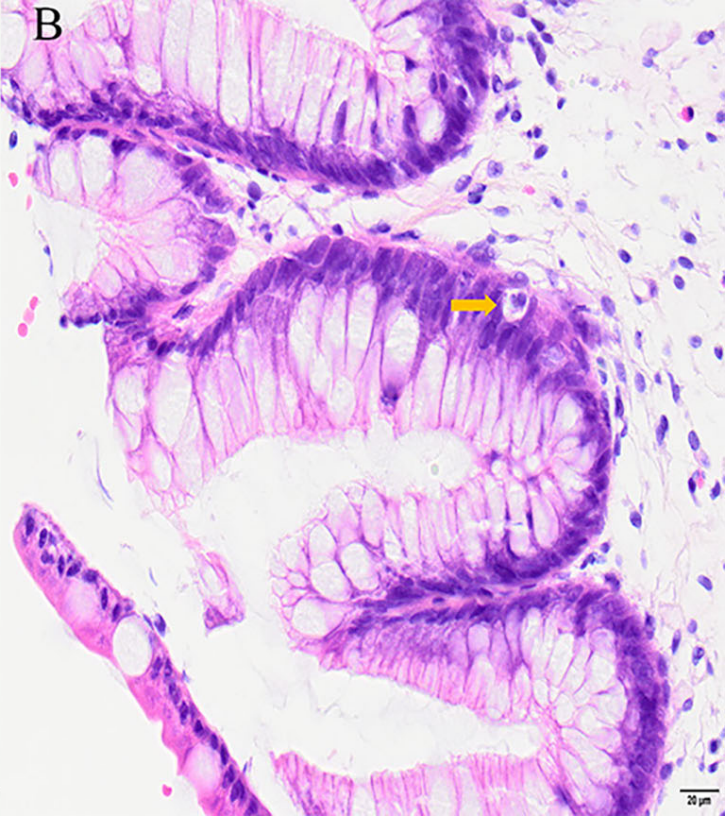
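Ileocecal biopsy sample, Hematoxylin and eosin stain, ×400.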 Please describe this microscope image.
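Intestinal mucosa at high power, showing crypts lined by tall columnar epithelium rich in goblet cells, with an apoptotic epithelial cell in the crypt lining. The goblet cells hold large pale, clear mucin vacuoles, and the epithelial nuclei are dark purple, elongated and crowded toward the base of the cells. Within one crypt lining, a single cell has shrunk into a small cleared space containing condensed dark fragments. Around the crypts, the lamina propria is loose and pale pink, with scattered small round and spindle-shaped nuclei and a few red blood cells. At lower left lies a detached strip of pink-staining epithelium.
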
